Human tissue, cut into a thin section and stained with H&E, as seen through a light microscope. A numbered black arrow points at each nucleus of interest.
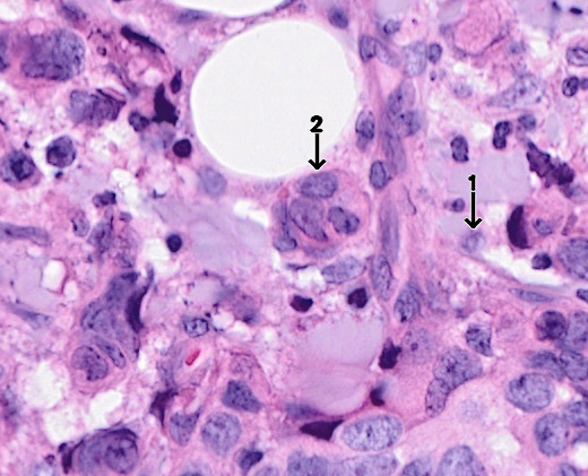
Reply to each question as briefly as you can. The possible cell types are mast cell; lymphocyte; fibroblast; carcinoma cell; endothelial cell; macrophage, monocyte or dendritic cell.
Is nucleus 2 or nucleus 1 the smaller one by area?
1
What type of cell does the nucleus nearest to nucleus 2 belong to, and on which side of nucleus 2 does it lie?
a carcinoma cell below nucleus 2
